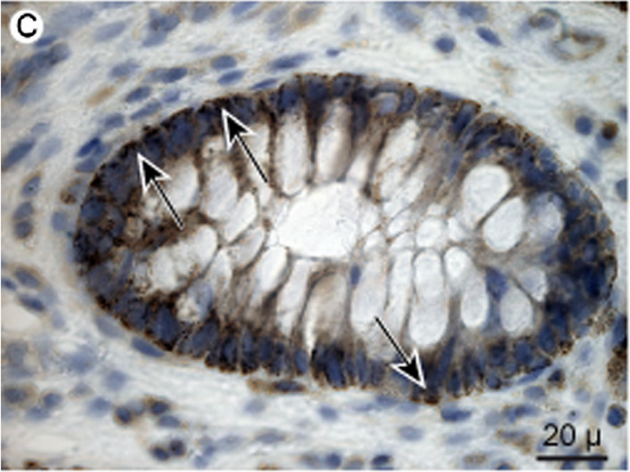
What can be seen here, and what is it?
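An oval, cross-sectioned crypt is lined by columnar epithelial cells and goblet cells arranged radially around a central lumen. The goblet cells form pale, elongated mucus-filled vacuoles pointing toward the lumen, and the narrow columnar cells between them carry elongated blue nuclei crowded near the base. Fine brown staining outlines the lateral and basal borders of the epithelial cells, giving a granular brown rim along the outer edge of the crypt. The crypt is encircled by loose, pale connective tissue containing scattered spindle-shaped and rounded blue nuclei.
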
